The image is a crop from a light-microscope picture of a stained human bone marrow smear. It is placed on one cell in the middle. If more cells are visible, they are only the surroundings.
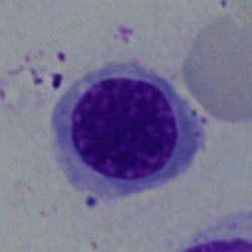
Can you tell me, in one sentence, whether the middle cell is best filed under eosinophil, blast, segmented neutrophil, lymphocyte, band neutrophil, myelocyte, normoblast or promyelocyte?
The target cell in the middle of the crop is a normoblast.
